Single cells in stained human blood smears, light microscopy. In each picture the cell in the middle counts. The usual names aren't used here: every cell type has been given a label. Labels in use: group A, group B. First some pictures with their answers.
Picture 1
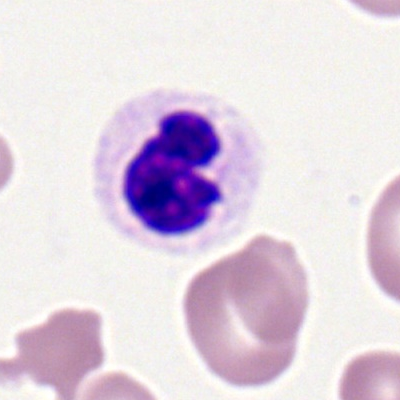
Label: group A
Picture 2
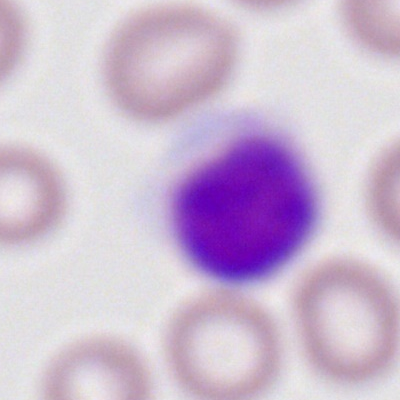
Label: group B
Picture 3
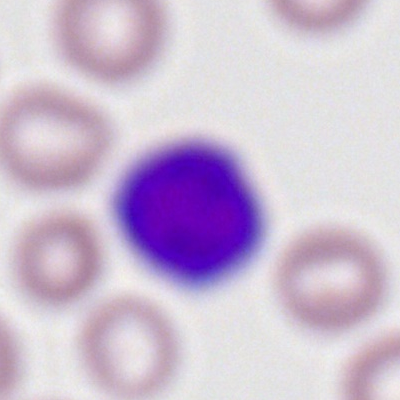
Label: group B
